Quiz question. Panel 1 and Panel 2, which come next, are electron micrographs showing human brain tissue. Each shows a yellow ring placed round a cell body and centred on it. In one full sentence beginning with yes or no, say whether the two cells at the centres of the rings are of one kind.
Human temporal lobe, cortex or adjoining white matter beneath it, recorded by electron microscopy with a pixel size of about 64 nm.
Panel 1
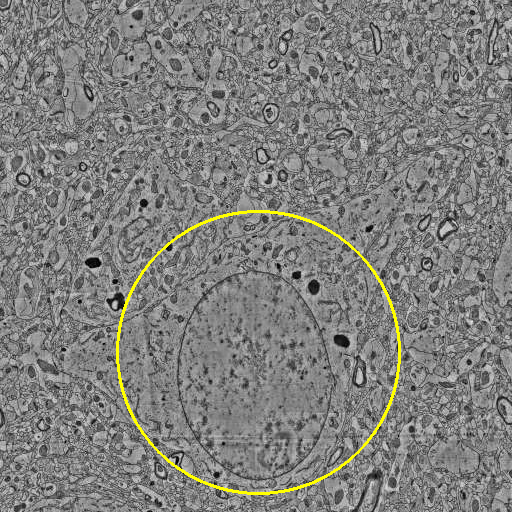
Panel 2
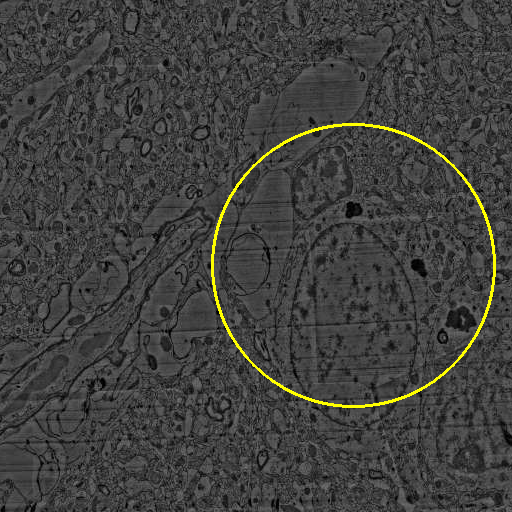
Yes, Panel 1 and Panel 2 show one kind of cell at the centre of the ring.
